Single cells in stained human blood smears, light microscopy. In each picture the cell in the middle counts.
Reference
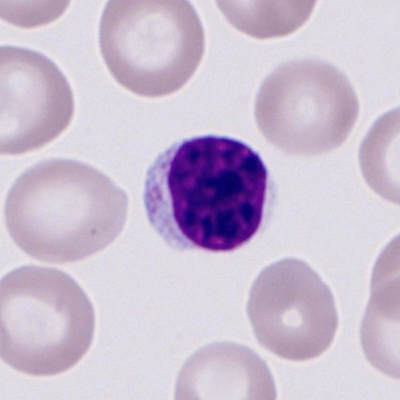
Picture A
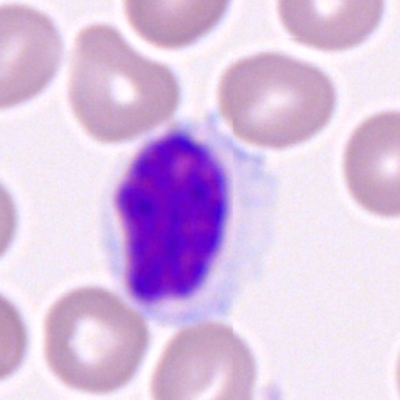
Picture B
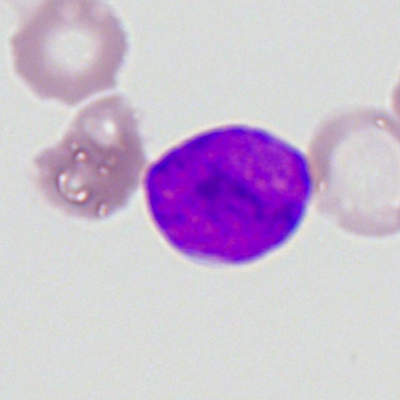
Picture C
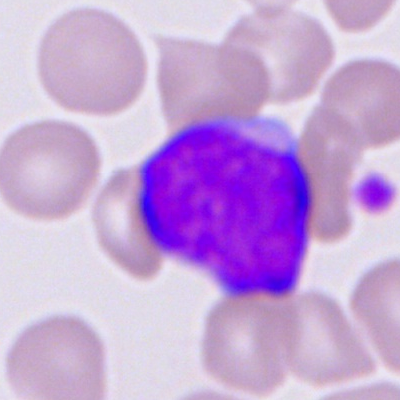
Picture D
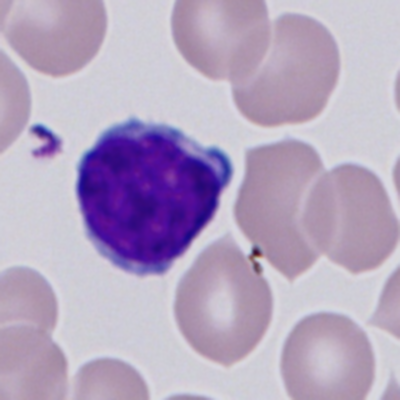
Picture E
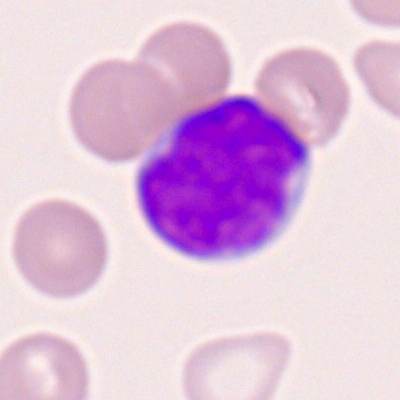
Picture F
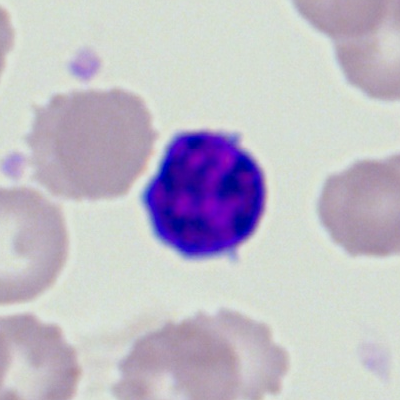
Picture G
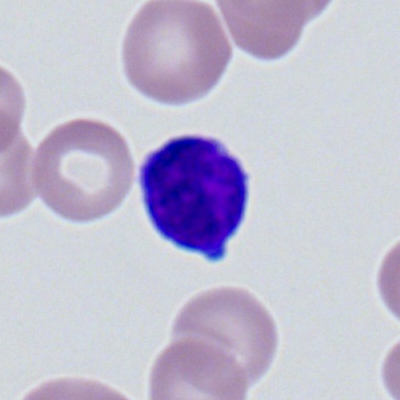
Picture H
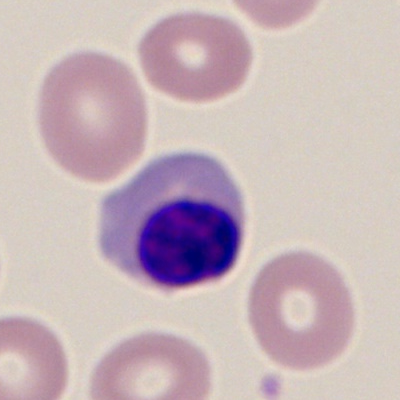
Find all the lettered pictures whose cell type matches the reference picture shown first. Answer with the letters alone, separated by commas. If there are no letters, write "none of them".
A, D, F, G, H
